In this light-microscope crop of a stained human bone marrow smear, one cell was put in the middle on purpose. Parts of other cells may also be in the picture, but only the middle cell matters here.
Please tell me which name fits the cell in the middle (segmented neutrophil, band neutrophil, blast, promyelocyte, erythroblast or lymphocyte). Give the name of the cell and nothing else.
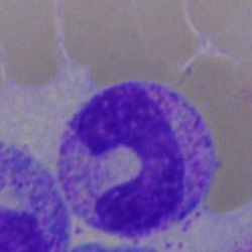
band neutrophil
